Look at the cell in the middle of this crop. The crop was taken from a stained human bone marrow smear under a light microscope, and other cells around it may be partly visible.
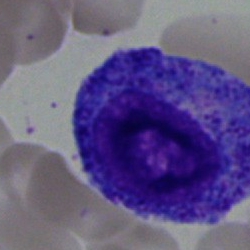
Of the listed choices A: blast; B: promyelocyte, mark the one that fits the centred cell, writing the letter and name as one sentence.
The correct option, B, names the middle cell as a promyelocyte.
